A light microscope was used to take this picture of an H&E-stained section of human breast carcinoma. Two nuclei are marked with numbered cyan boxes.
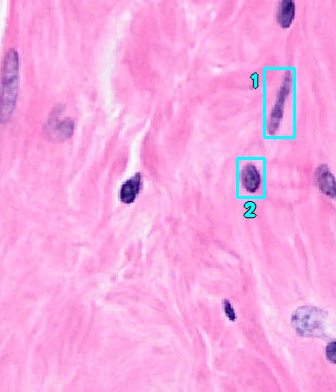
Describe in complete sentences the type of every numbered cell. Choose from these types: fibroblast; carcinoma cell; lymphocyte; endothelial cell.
Cell 1 is a fibroblast and cell 2 is a lymphocyte.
